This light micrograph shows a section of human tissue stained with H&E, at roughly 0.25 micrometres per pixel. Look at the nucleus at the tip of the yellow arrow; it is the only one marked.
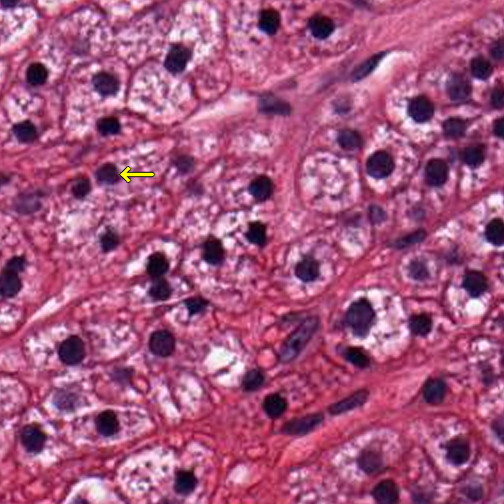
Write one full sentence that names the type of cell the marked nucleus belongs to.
The marked nucleus belongs to an adrenal cortical cell.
